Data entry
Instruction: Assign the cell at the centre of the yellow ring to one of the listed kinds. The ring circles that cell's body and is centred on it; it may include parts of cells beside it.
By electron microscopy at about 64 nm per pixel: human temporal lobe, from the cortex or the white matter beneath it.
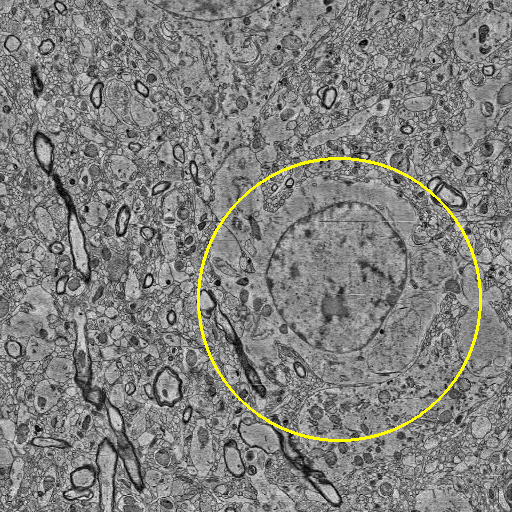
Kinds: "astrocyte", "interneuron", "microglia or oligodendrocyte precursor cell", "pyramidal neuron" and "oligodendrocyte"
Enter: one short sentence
The centre of the ring falls on an astrocyte.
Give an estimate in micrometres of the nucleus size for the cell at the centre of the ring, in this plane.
In this plane the nucleus is about 9 micrometres across.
